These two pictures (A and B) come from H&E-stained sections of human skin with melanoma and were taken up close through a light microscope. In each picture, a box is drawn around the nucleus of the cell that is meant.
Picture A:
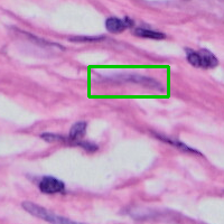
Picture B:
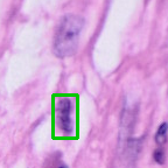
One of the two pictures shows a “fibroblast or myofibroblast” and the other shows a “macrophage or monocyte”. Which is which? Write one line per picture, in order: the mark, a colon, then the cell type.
A: fibroblast or myofibroblast
B: macrophage or monocyte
